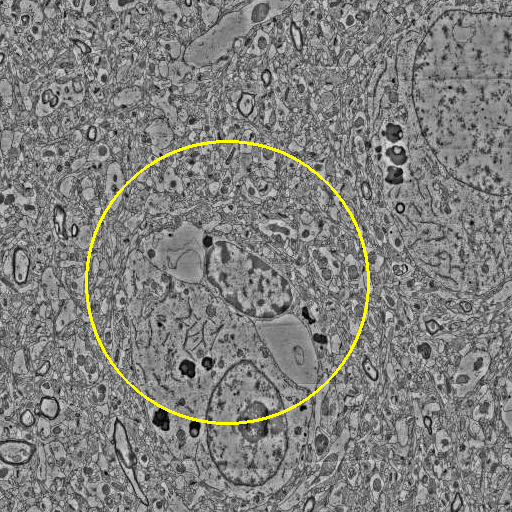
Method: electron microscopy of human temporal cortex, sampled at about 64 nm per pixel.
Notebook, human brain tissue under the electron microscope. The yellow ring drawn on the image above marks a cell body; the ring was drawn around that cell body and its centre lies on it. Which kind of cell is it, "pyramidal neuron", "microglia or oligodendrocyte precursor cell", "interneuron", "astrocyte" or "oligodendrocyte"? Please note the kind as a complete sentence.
The marked cell body is that of a microglial cell or oligodendrocyte precursor cell.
